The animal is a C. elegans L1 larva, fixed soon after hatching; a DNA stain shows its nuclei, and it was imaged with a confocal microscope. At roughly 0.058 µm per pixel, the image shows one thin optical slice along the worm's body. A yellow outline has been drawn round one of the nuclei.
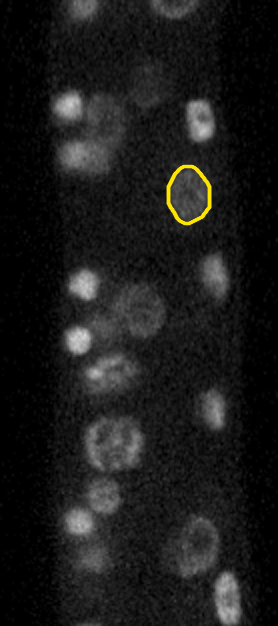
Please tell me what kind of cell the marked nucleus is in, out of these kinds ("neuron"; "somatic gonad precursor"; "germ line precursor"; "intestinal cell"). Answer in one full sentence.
The marked nucleus is that of an intestinal cell.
